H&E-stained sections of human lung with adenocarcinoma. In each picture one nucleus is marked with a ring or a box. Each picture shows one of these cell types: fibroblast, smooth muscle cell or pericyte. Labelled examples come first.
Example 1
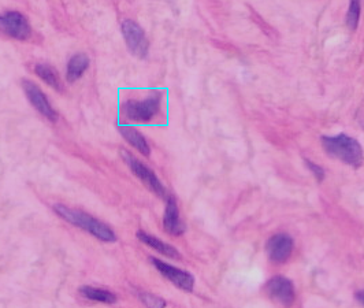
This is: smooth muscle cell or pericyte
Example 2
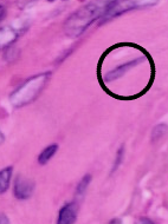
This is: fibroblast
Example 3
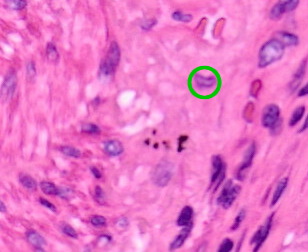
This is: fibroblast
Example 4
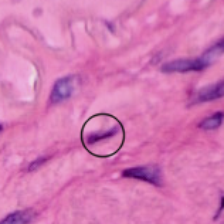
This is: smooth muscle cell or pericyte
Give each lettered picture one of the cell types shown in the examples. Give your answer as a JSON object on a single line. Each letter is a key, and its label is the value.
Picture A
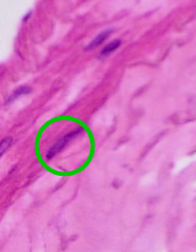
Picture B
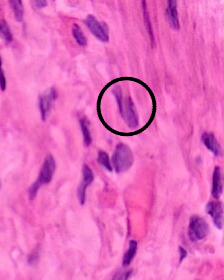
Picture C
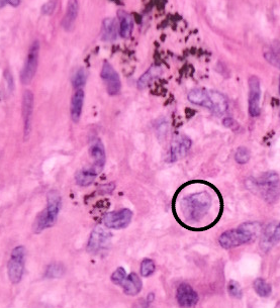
{"A": "smooth muscle cell or pericyte", "B": "fibroblast", "C": "fibroblast"}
